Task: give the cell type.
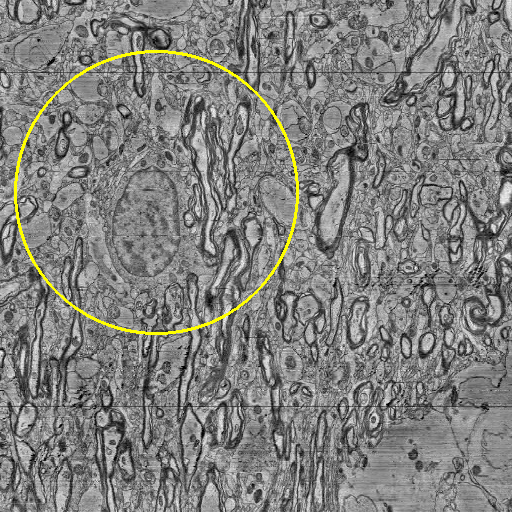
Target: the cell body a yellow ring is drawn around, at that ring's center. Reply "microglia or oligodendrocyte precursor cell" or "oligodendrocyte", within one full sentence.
In this picture, the cell whose body lies at the ring's center is an oligodendrocyte.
